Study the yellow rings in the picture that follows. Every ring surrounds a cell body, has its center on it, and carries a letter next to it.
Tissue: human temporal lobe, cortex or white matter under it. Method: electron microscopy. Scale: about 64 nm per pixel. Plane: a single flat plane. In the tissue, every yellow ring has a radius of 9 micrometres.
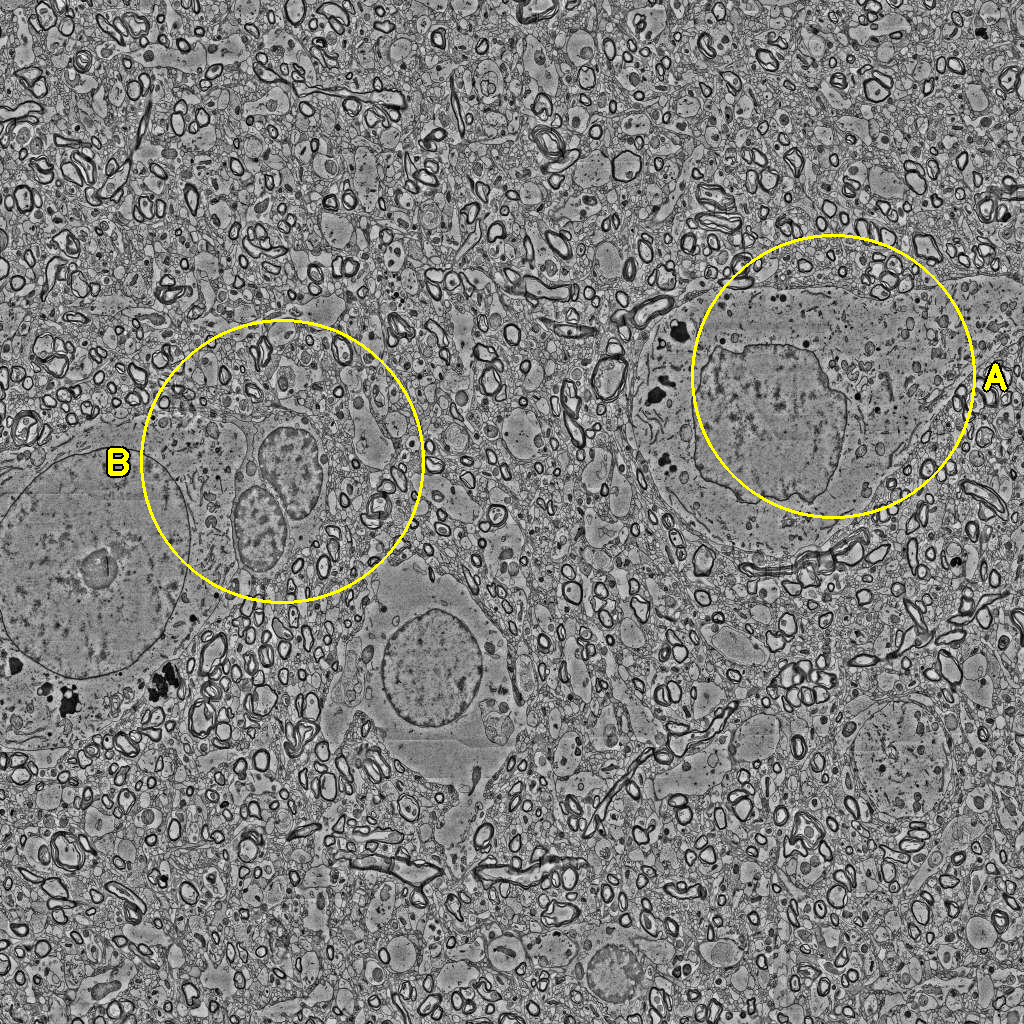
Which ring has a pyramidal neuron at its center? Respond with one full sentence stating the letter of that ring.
The ring centered on the cell asked for carries the letter A.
